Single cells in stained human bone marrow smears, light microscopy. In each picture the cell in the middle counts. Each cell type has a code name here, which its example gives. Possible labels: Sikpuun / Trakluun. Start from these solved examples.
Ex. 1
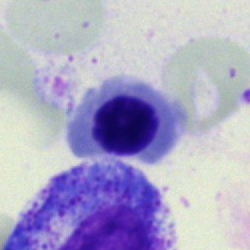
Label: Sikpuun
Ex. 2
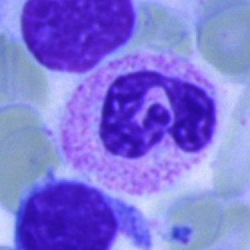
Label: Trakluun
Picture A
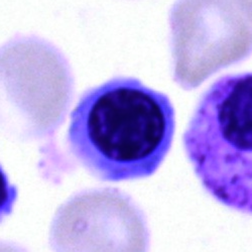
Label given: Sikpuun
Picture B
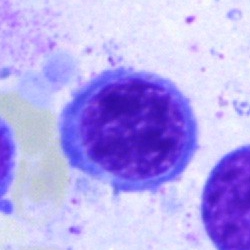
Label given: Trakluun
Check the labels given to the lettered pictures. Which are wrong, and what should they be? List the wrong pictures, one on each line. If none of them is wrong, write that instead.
Wrong: B (Trakluun); correct: Sikpuun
